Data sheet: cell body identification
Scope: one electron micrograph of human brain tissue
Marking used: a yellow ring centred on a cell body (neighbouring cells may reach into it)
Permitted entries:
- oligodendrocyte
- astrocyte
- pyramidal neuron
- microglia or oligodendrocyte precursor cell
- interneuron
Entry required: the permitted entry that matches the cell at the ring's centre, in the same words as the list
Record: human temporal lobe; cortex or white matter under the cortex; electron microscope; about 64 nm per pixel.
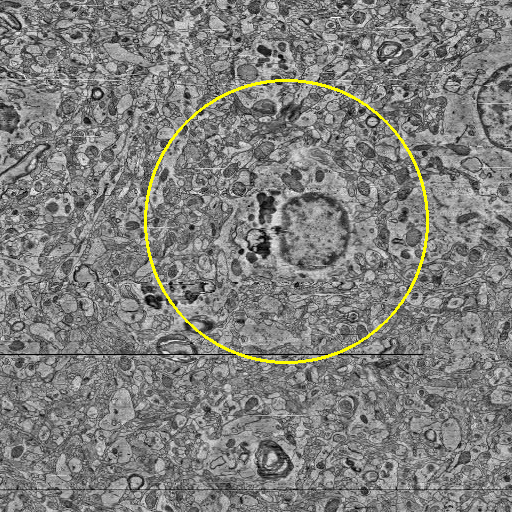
astrocyte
